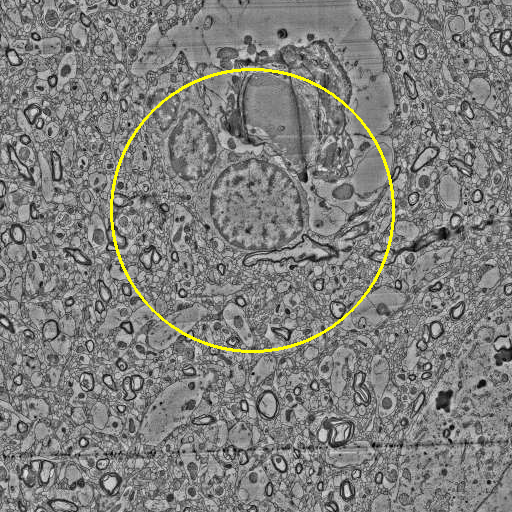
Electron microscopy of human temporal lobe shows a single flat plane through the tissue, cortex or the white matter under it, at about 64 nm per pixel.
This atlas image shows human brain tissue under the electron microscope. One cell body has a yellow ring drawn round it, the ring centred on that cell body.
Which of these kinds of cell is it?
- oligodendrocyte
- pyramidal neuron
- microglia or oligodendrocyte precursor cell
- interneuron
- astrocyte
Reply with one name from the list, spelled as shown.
oligodendrocyte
